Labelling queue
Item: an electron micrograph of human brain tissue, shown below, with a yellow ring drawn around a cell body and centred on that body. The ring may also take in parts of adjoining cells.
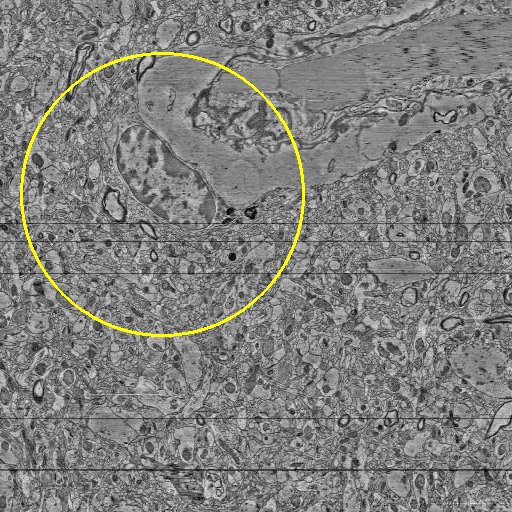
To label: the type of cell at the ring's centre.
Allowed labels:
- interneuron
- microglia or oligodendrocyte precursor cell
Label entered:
microglia or oligodendrocyte precursor cell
